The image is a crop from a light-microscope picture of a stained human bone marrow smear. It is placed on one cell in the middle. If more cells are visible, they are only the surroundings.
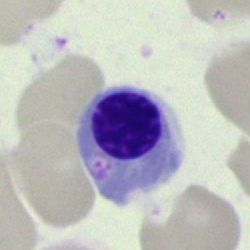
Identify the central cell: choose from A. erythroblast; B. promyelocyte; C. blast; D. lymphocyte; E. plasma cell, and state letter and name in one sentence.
Option A is correct in that the central cell is an erythroblast.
